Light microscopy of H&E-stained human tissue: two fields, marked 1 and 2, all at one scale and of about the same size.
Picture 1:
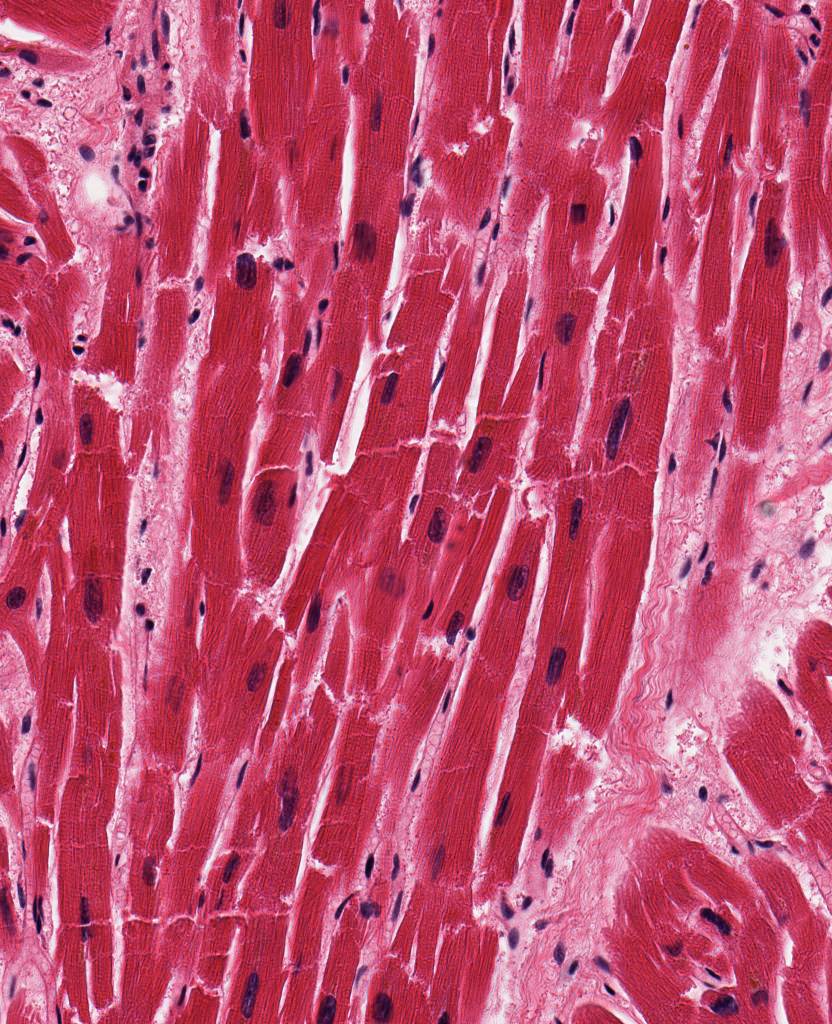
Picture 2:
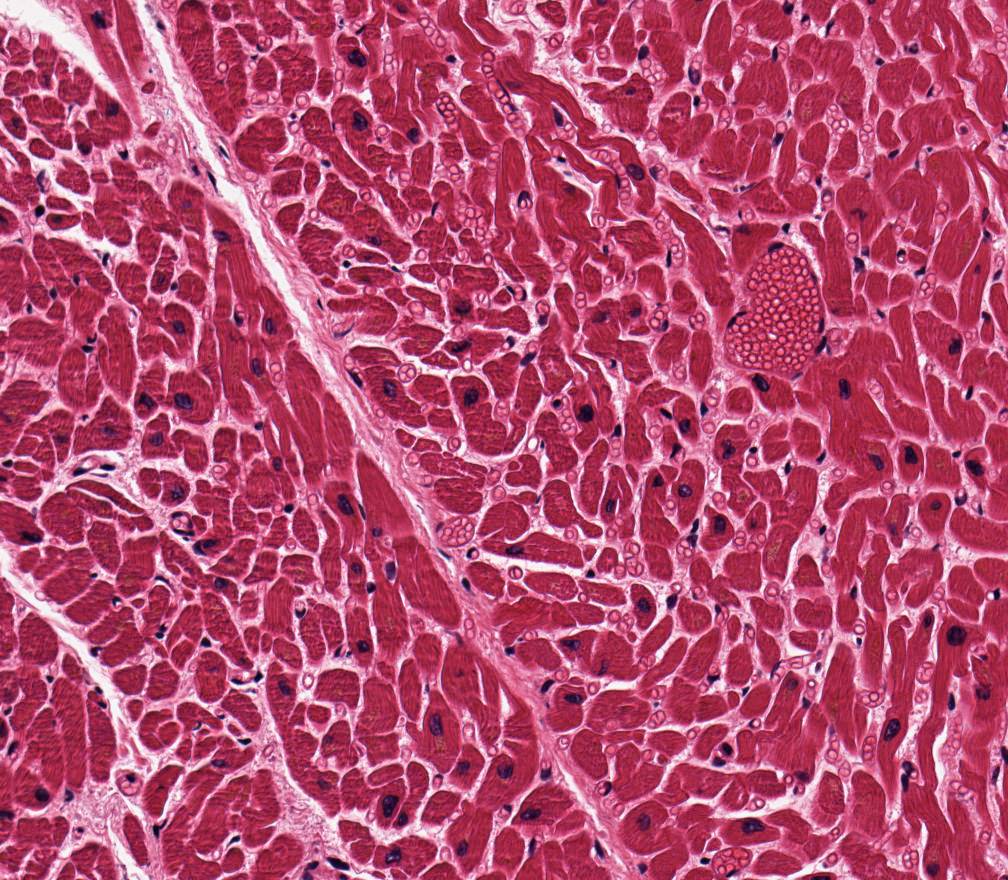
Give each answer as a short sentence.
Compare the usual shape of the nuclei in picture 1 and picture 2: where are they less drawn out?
On the whole the nuclei of picture 2 are rounder than those of picture 1.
